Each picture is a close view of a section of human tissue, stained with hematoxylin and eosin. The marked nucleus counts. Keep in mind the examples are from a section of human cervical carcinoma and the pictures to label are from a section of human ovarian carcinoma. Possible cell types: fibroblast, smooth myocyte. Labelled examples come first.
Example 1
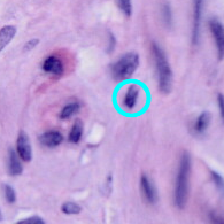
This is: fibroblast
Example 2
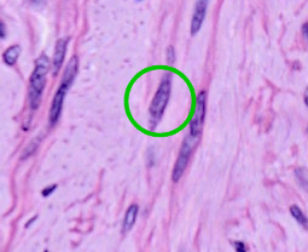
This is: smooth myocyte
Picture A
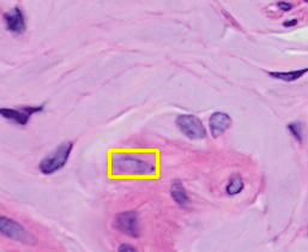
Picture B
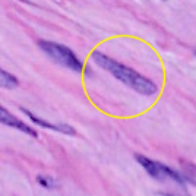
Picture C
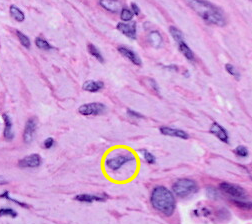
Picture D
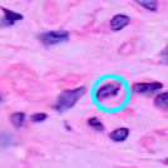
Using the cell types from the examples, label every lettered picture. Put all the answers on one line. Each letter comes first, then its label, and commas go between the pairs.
A smooth myocyte, B smooth myocyte, C fibroblast, D smooth myocyte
